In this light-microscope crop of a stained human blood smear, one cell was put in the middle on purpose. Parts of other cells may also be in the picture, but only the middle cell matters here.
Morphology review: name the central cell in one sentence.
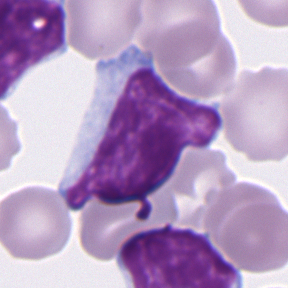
Classified as a typical lymphocyte is the cell in the middle of this crop.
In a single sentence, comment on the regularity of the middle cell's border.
The periphery of this cell is uneven, with ragged portions or projections.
